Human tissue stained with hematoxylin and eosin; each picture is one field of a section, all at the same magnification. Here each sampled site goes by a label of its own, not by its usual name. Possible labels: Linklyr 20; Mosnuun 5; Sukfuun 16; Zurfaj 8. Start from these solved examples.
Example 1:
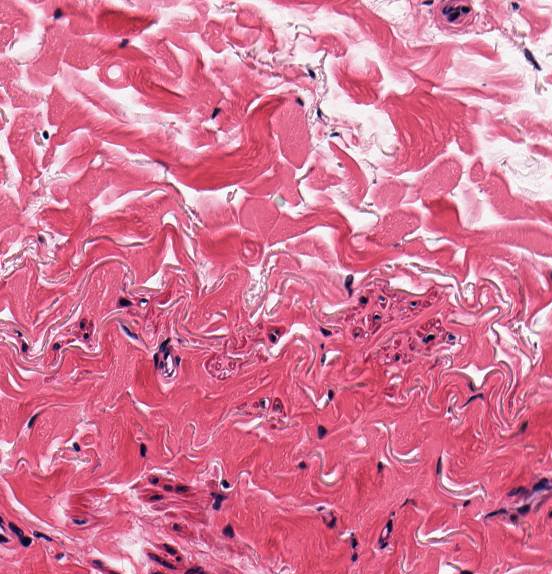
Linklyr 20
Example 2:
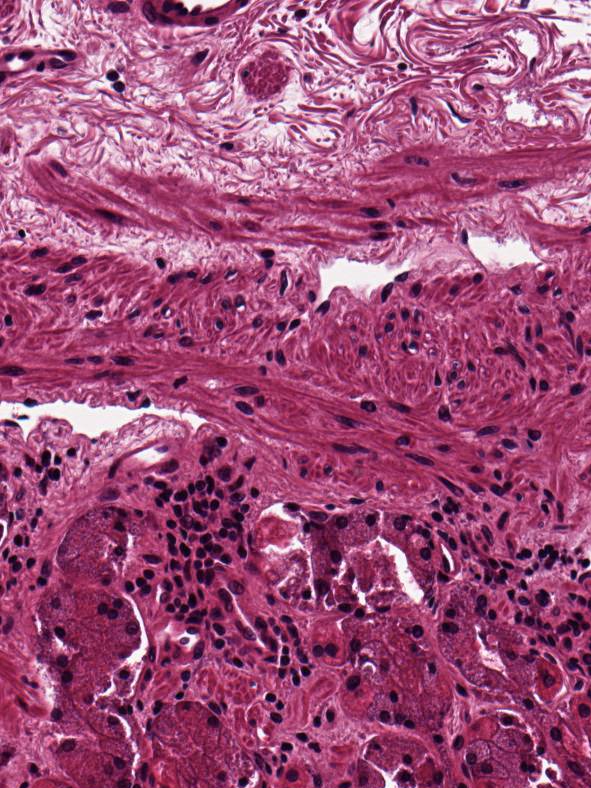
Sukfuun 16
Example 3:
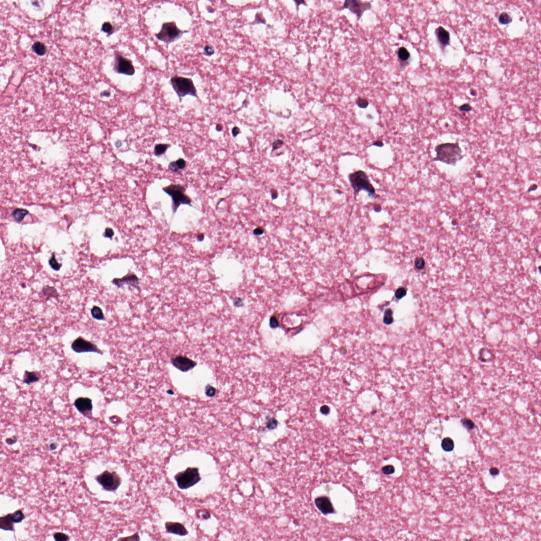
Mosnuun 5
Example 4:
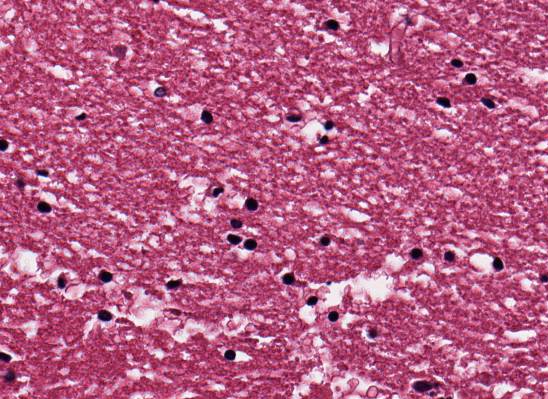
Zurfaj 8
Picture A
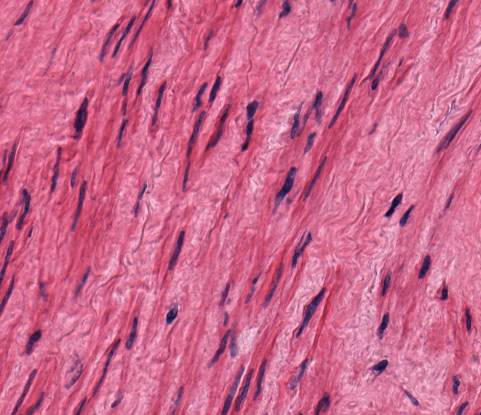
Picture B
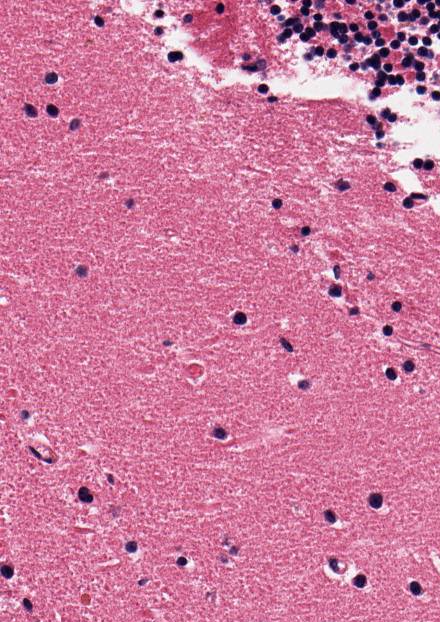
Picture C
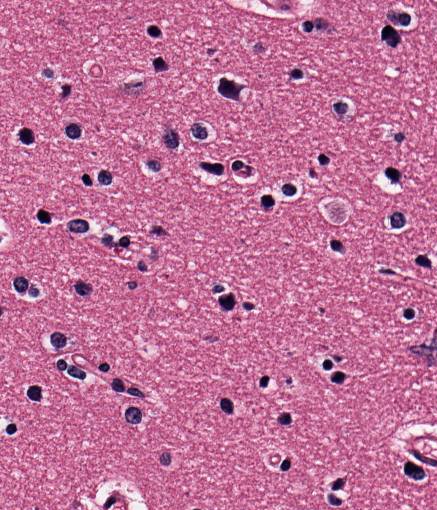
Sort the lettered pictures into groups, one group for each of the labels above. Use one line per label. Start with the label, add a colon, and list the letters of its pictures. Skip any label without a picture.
Linklyr 20: A
Mosnuun 5: C
Zurfaj 8: B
